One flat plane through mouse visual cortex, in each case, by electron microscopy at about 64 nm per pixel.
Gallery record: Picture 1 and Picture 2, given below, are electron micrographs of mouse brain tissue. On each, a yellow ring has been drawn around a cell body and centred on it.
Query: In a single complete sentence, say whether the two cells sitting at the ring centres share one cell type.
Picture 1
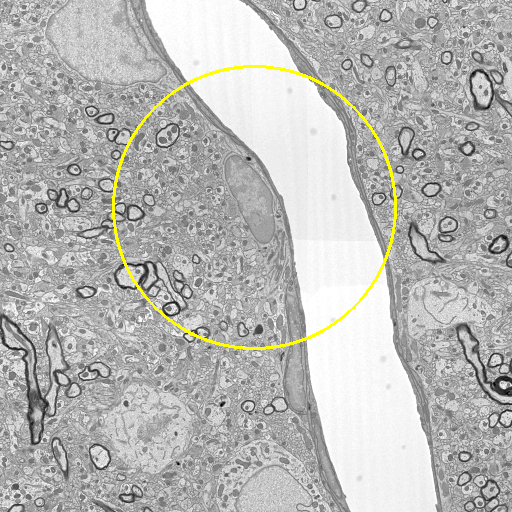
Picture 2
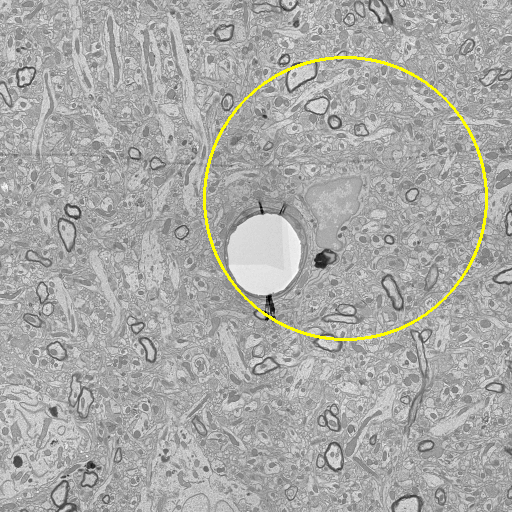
Yes, in both pictures the cell at the ring's centre is of one and the same type.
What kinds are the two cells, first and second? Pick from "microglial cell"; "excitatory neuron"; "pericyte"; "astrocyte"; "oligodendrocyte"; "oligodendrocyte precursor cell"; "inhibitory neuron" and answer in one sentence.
Each of the two cells is a microglial cell.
